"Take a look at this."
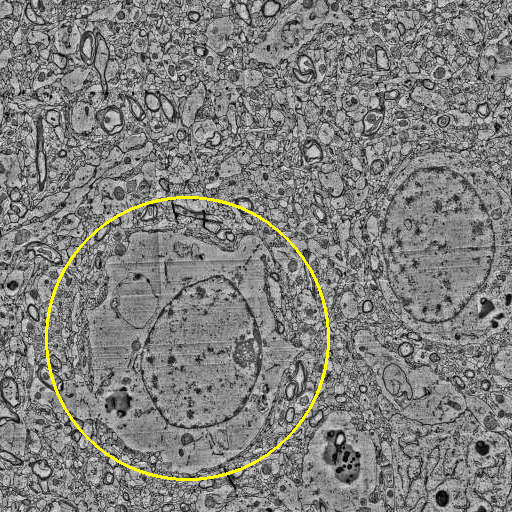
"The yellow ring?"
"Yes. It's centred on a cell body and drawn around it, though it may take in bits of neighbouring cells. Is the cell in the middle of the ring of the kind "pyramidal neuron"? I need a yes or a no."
No, it is of another kind.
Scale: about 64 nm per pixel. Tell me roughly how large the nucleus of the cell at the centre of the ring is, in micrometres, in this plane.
The ringed cell's nucleus is about 10 micrometres long and 7 micrometres wide in this plane.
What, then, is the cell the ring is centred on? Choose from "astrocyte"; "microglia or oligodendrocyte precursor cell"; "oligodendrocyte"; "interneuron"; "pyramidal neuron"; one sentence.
It is an astrocyte at the centre of the ring.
